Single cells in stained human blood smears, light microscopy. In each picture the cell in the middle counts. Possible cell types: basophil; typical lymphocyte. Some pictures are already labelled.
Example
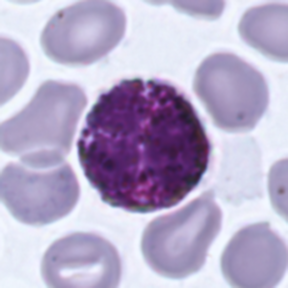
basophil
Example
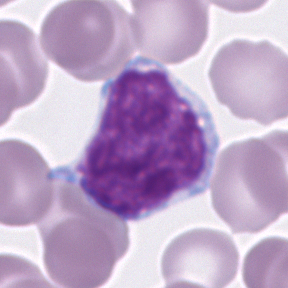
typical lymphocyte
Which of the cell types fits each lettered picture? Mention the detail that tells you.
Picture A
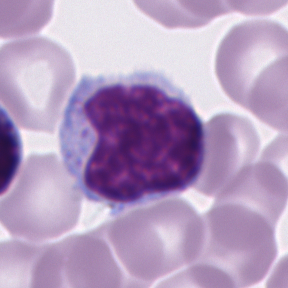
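Label: typical lymphocyte. The nucleus is kidney-shaped, with a notch on its left side.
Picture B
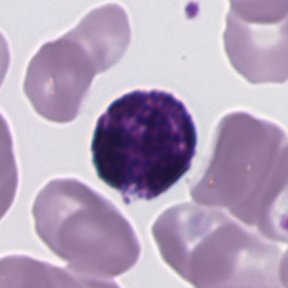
Label: basophil. The cell is crowded with coarse, dark purple granules.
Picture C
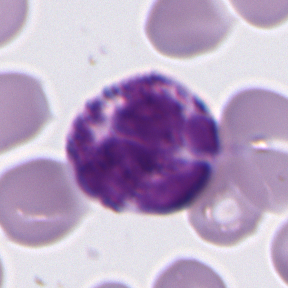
Label: basophil. Only small pale whitish gaps of cytoplasm show between the granules.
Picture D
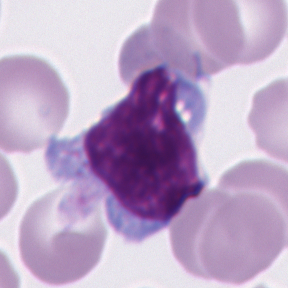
Label: typical lymphocyte. A few fine pink-purple granules lie in the cytoplasm on the left side.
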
